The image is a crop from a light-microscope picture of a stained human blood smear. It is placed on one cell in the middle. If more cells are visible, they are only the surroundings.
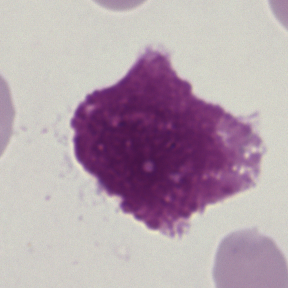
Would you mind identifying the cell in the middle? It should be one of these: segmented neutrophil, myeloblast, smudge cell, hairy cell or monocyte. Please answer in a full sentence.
Standing at the centre of this crop is a smudge cell.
